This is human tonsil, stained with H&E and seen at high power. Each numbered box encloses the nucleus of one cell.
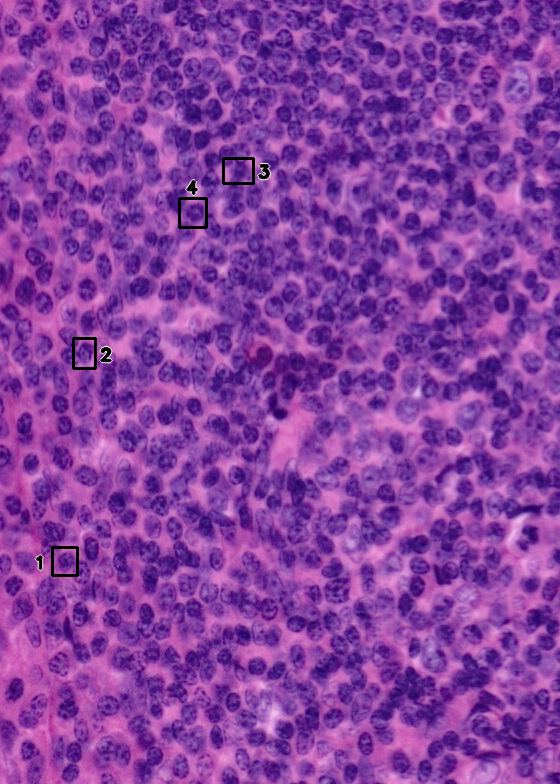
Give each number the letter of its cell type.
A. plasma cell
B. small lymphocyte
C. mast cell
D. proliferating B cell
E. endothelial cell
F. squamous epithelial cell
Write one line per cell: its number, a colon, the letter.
1: A
2: B
3: B
4: B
